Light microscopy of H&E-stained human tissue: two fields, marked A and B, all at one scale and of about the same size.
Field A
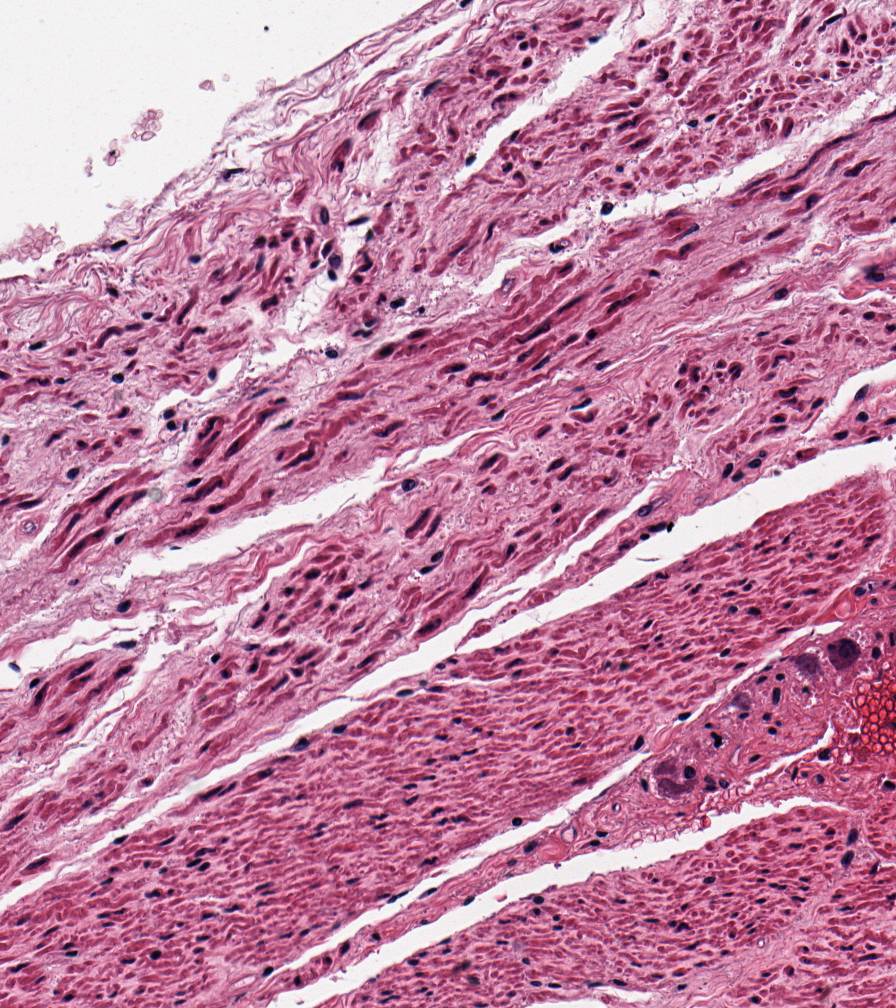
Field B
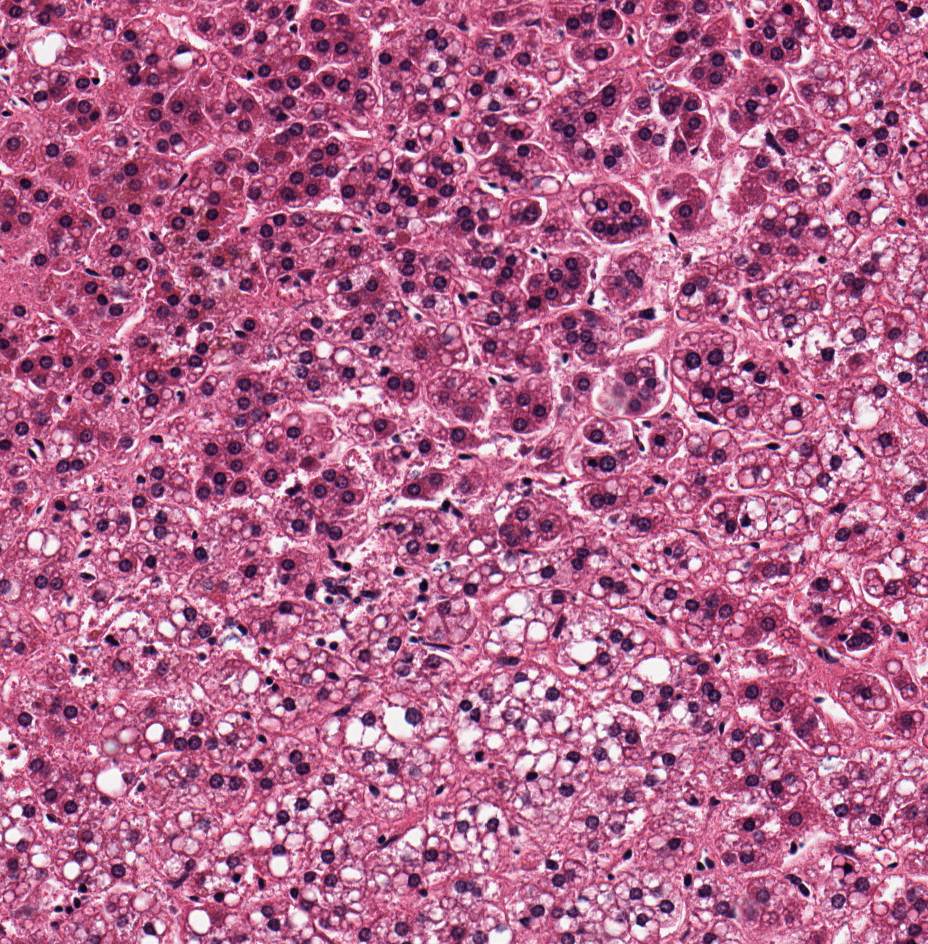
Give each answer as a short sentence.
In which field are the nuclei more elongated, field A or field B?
On the whole the nuclei of field A are more drawn out than those of field B.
